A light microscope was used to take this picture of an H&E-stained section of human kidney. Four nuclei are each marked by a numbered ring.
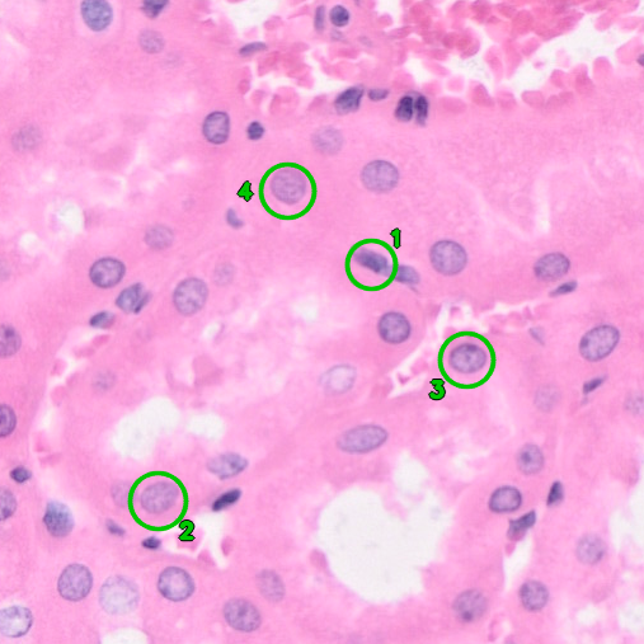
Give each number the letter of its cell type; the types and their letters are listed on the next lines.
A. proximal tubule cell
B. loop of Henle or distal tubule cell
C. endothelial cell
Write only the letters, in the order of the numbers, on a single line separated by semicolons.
C; A; A; A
